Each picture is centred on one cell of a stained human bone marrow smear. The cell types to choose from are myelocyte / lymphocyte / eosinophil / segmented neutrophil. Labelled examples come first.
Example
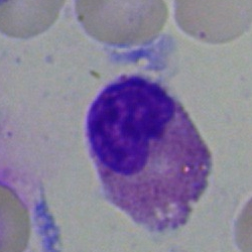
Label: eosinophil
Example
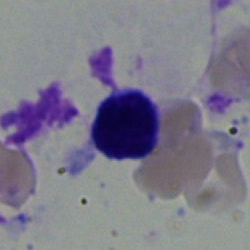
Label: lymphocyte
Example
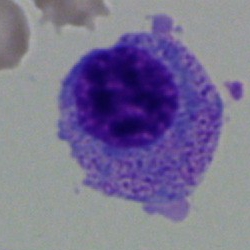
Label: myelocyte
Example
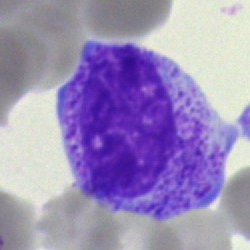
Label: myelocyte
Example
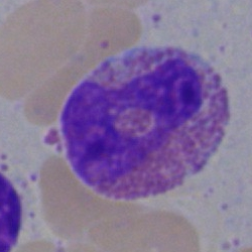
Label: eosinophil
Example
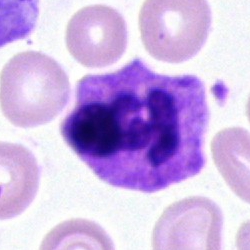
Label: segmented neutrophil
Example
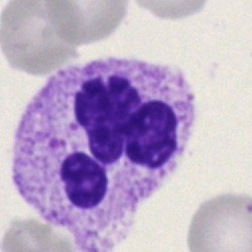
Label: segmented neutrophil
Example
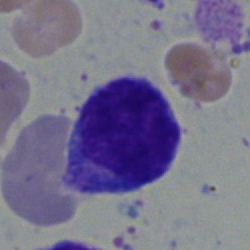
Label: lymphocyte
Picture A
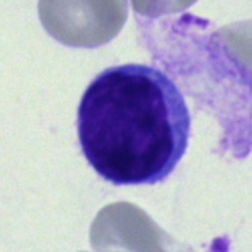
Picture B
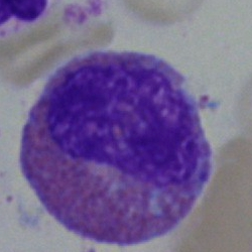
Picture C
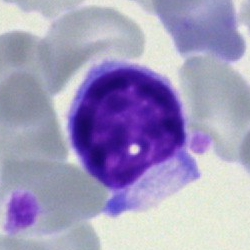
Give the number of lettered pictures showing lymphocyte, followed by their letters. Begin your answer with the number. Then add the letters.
2, namely A, C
